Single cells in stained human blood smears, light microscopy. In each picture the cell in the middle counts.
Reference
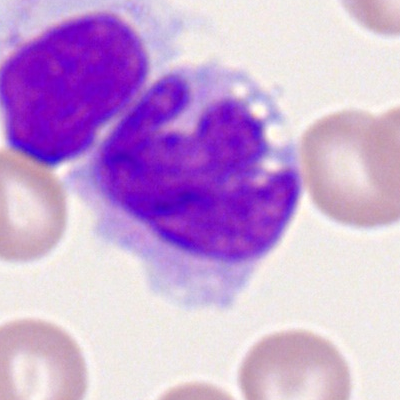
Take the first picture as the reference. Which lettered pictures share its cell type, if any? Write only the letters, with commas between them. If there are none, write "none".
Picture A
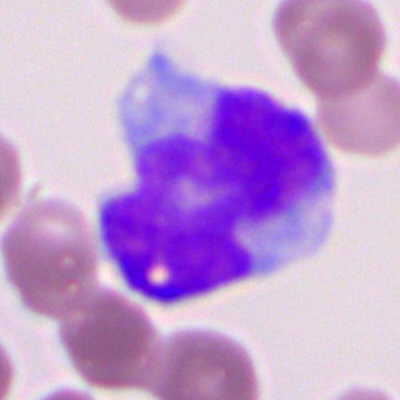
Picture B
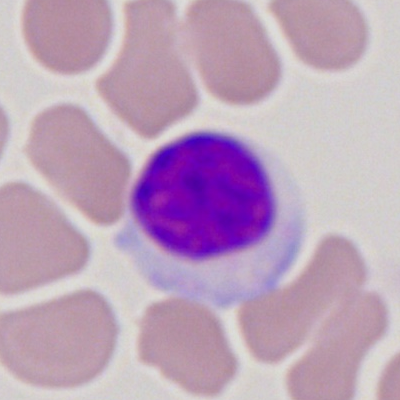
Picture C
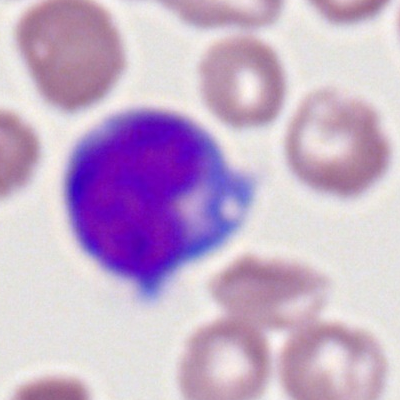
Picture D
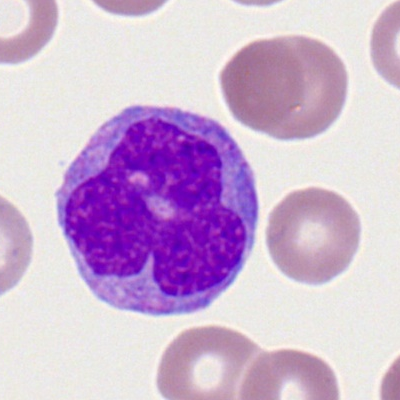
A, C, D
